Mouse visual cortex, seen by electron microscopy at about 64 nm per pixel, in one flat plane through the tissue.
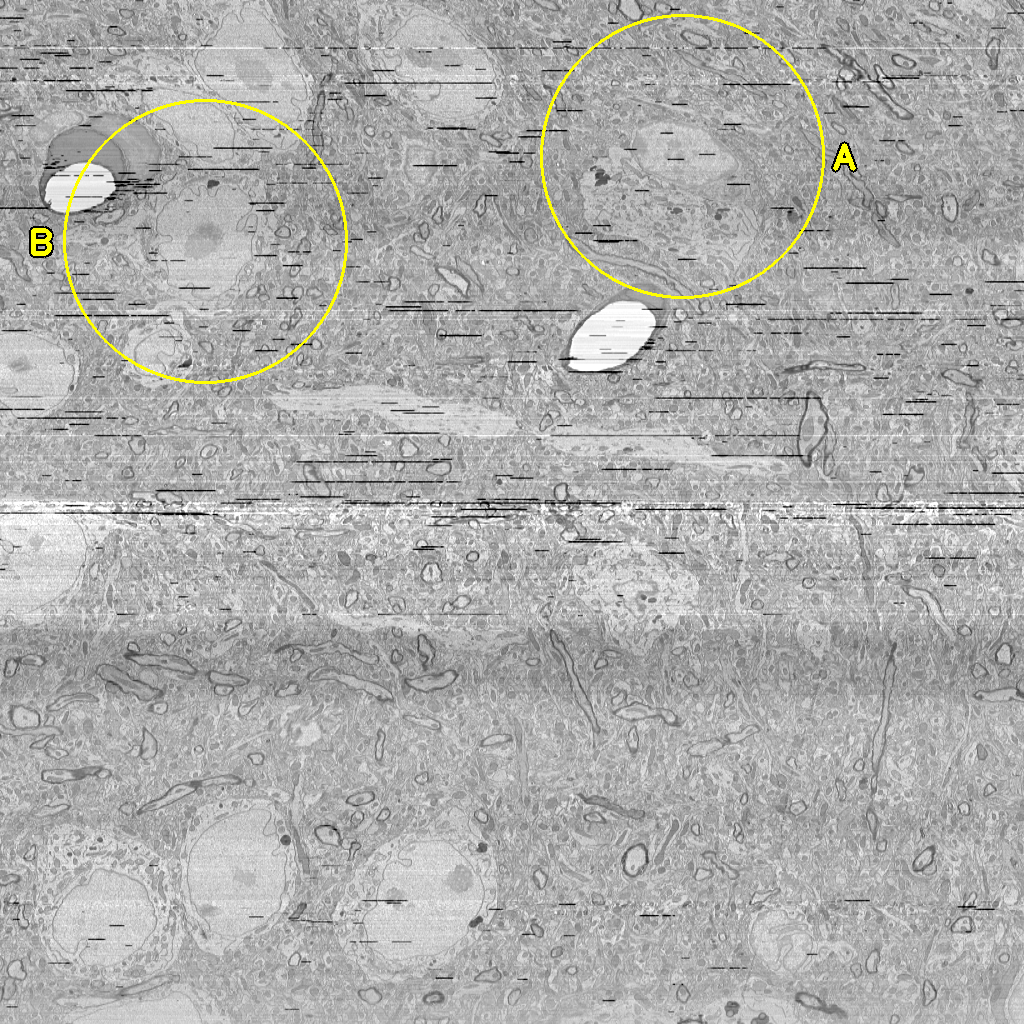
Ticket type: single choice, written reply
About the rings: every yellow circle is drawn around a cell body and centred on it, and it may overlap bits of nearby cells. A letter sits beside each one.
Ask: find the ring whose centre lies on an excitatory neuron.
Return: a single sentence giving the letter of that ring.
At the centre of the ring marked B lies the cell asked for.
